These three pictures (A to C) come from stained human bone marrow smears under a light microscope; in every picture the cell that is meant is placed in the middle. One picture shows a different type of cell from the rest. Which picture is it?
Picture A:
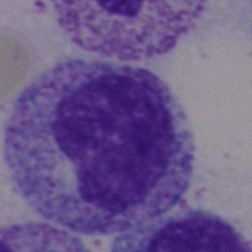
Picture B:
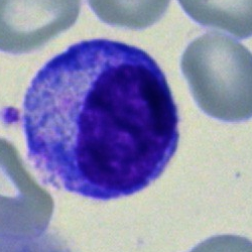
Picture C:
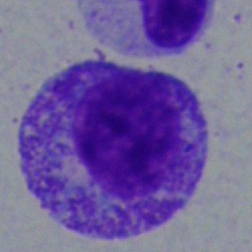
B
